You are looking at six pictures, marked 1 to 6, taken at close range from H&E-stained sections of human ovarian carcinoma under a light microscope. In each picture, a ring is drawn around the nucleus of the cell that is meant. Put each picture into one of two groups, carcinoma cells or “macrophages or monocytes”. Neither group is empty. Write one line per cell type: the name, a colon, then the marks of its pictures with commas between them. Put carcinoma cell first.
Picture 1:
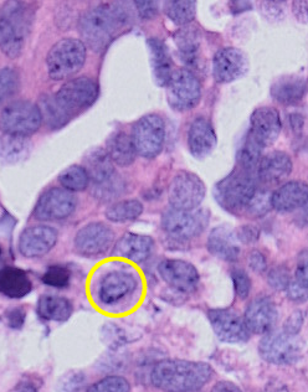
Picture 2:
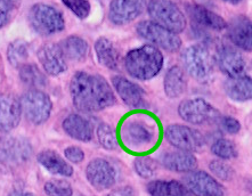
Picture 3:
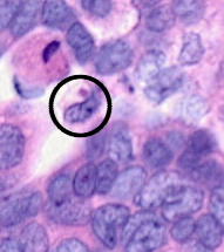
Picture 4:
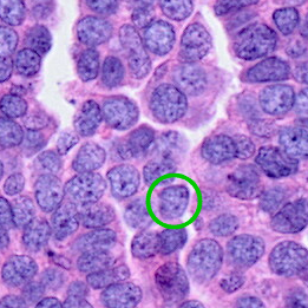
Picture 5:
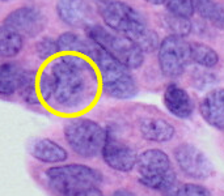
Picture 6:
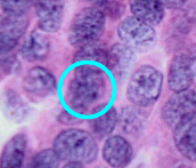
carcinoma cell: 2, 4, 5, 6
macrophage or monocyte: 1, 3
